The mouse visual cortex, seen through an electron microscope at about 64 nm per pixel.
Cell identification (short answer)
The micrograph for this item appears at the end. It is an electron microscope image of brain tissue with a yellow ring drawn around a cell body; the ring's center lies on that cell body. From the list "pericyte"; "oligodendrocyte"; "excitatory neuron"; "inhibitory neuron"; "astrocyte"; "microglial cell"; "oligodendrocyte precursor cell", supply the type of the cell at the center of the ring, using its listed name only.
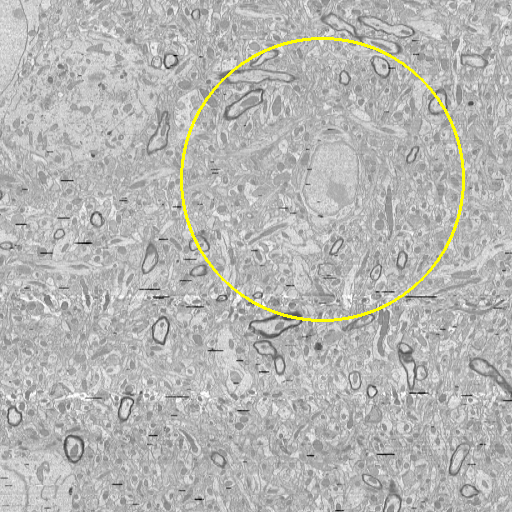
oligodendrocyte precursor cell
